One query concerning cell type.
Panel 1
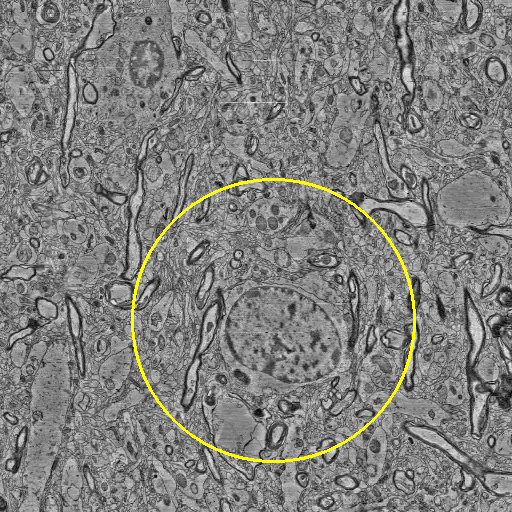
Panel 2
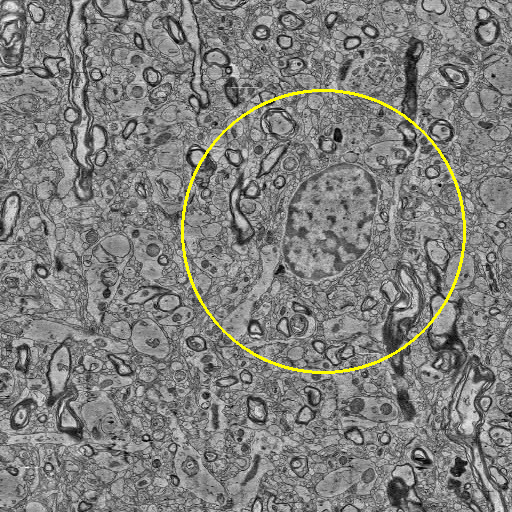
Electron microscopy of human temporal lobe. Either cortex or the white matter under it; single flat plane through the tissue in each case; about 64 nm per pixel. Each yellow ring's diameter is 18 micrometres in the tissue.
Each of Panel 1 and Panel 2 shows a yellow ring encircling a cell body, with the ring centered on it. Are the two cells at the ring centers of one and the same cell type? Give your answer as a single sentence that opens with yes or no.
Yes, the cell centered in Panel 1 and the one in Panel 2 share a type.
